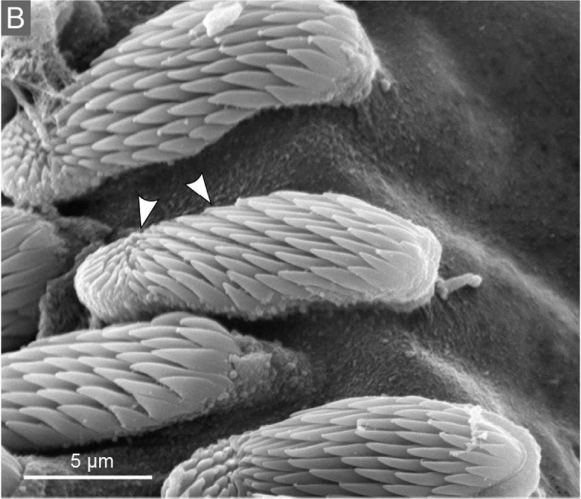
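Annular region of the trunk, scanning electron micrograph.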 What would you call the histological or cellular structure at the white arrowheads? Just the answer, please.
Denticles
